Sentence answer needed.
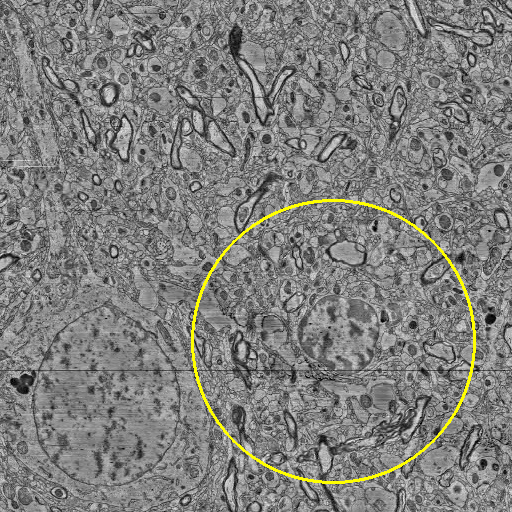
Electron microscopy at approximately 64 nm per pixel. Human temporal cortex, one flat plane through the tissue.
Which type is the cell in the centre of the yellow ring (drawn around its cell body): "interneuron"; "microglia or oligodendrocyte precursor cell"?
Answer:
In the centre of the yellow ring is a microglial cell or oligodendrocyte precursor cell.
